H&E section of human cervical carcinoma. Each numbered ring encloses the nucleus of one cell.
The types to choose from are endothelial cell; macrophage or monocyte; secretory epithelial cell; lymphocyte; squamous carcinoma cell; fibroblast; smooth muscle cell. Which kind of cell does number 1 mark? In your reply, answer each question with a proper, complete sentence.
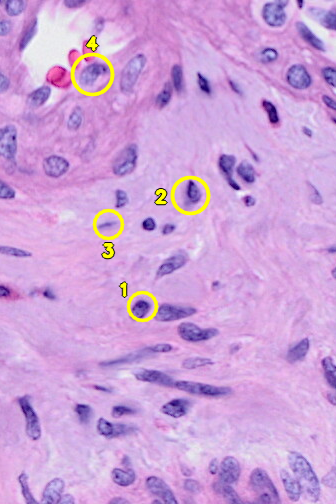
The mark numbered 1 indicates the nucleus of a fibroblast.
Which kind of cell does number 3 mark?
The marked cell with the number 3 is recognised as a fibroblast.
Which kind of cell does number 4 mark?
The cell numbered 4 represents an endothelial cell.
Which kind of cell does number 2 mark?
Cell 2 in the field of view is a fibroblast.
